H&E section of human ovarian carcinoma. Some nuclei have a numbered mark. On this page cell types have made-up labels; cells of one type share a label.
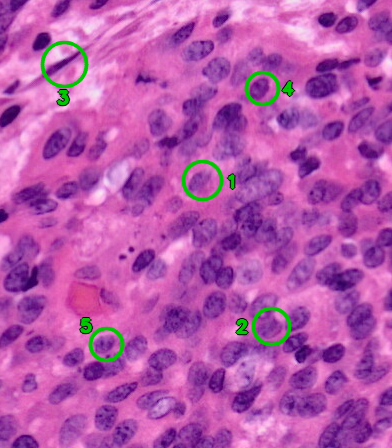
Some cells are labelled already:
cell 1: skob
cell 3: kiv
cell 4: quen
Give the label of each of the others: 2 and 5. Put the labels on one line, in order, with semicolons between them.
quen; skob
